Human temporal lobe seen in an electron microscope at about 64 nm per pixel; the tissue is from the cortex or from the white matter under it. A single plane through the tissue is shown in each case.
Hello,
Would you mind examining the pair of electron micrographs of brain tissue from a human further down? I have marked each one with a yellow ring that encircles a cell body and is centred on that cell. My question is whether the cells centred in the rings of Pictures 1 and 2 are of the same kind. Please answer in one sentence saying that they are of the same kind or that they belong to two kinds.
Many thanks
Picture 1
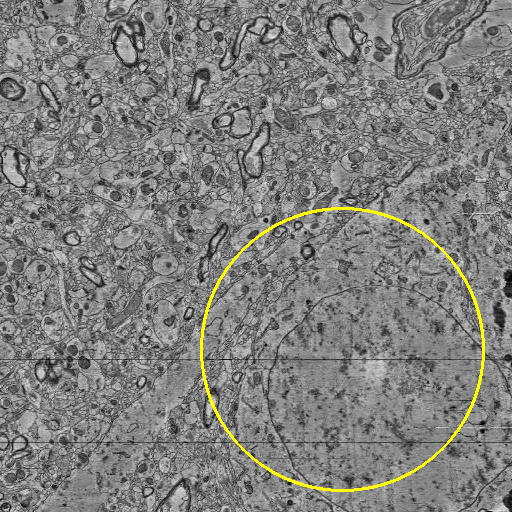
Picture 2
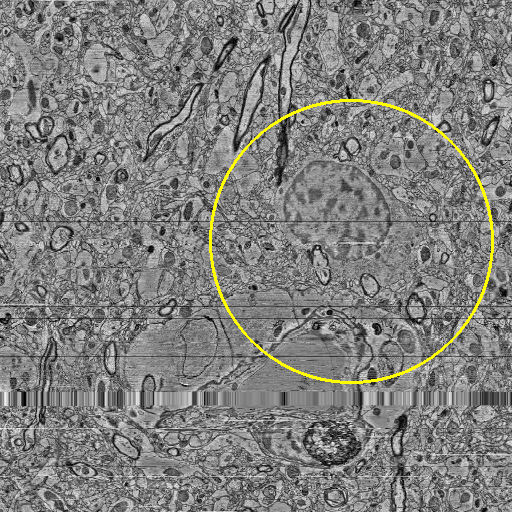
In Pictures 1 and 2, the cells at the heart of the rings belong to two kinds.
